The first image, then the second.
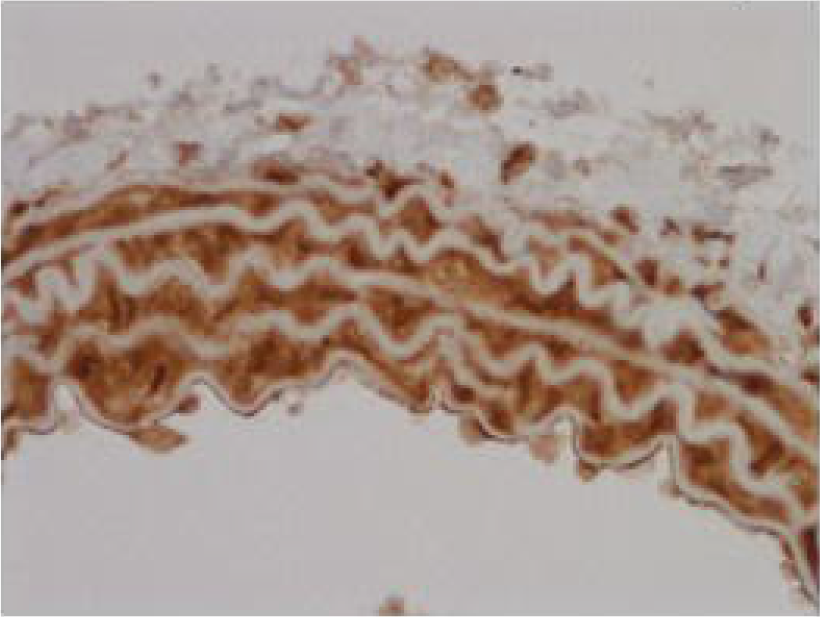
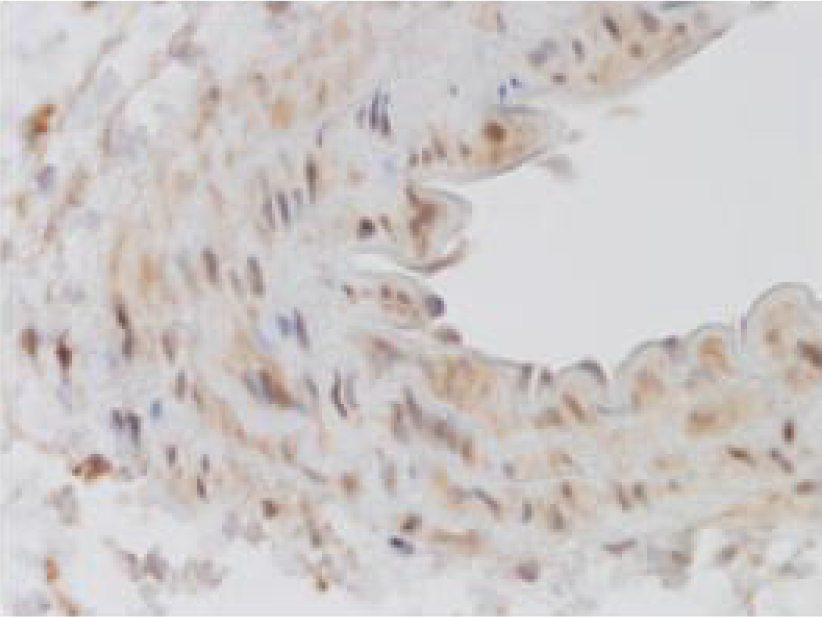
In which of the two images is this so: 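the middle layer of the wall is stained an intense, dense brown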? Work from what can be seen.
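Second image: the wall layer between the wavy laminae is pale tan with scattered brown nuclei and some blue nuclei. First image: the layer between the wavy laminae is filled with dark, dense brown stain.
Conclusion: the first image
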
